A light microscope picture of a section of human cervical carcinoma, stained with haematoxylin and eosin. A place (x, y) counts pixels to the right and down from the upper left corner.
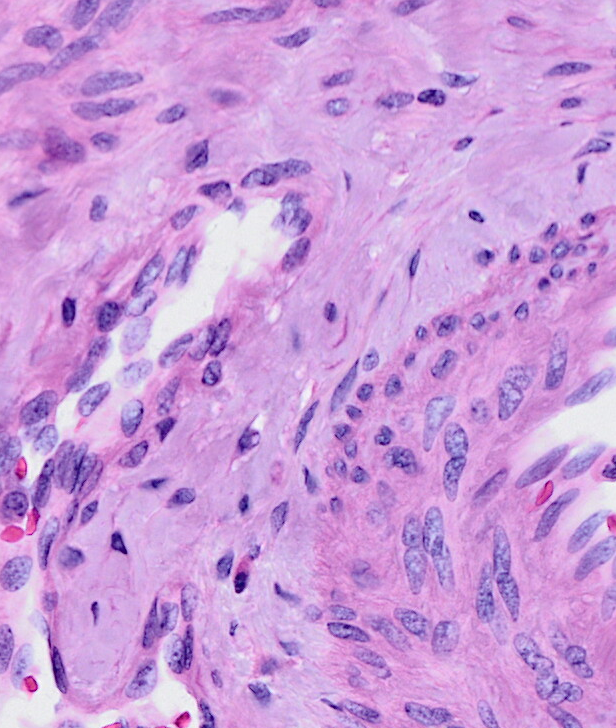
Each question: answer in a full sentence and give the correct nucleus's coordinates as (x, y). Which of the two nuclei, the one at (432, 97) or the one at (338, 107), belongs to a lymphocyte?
Of the two options, the nucleus at (432, 97) is the one that belongs to a lymphocyte.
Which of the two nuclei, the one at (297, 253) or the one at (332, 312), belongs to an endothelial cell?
The nucleus at (297, 253) is the one of the two that belongs to an endothelial cell.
